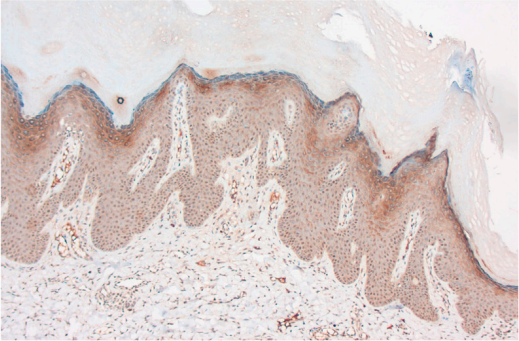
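Thickened epidermis with elongated rete ridges and narrow dermal papillae, covered by a broad, compact stratum corneum. Keratinocytes show brown cytoplasmic staining, denser in the upper layers beneath a thin bluish band at the keratin junction. The papillary dermis holds small vessels with some brown-stained cells.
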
